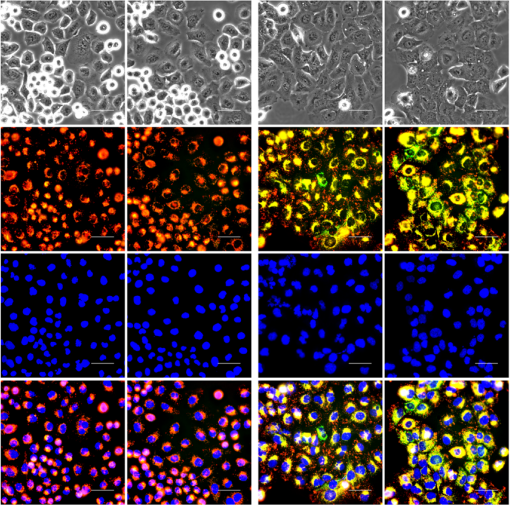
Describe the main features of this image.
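These are cultured cells growing as a flat monolayer. In the phase contrast images at the top they are polygonal and spread, lying close together in patches, with scattered rounded, bright cells. In the fluorescence images below, each cell shows a granular cytoplasmic signal around a dark central space that matches a round blue nucleus. The signal is mostly red-orange in the left half of the grid and mostly yellow-green in the right half.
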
